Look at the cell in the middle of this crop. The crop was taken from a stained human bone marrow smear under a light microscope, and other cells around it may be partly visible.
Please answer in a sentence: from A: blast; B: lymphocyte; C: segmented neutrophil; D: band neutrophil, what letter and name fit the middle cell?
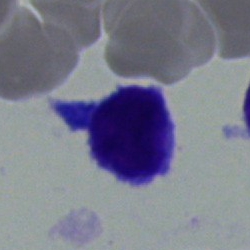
Here the right option is B, as the cell in the middle is a lymphocyte.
